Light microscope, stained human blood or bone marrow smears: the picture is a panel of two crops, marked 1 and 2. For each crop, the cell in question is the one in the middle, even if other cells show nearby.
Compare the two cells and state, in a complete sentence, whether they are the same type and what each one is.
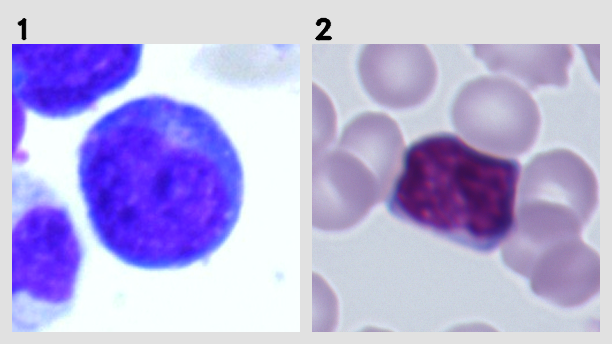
No, a blast is the subject of crop 1, and a lymphocyte is the subject of crop 2.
